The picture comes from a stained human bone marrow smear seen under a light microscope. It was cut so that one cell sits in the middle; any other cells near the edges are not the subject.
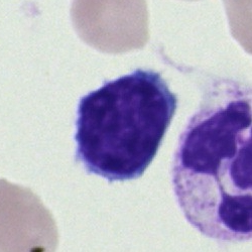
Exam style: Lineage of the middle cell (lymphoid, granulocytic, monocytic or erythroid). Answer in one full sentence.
The lymphoid lineage is the lineage of the cell in the middle.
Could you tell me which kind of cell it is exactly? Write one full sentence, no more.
Within this crop, a lymphocyte occupies the central position.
